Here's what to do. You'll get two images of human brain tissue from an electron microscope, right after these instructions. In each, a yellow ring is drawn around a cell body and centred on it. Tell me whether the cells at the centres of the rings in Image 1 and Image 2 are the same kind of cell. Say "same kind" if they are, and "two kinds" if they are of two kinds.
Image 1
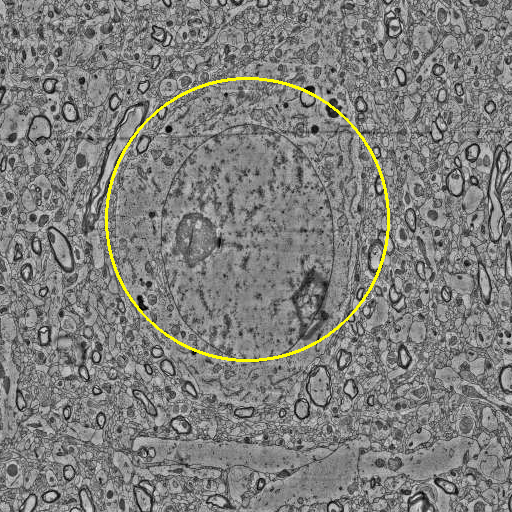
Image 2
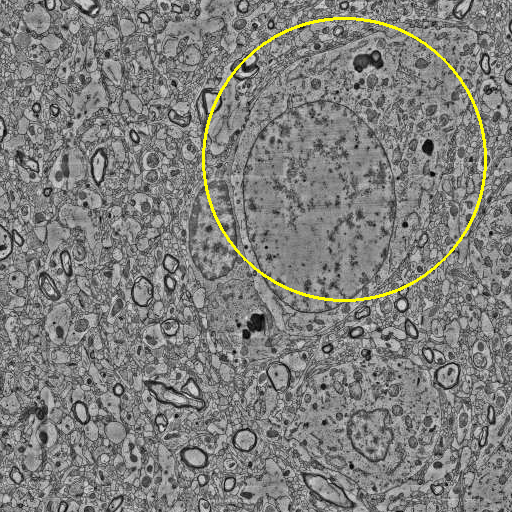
same kind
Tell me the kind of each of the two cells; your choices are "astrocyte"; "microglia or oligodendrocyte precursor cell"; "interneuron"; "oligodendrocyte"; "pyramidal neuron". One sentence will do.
In each of the two pictures, the ringed cell is a pyramidal neuron.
